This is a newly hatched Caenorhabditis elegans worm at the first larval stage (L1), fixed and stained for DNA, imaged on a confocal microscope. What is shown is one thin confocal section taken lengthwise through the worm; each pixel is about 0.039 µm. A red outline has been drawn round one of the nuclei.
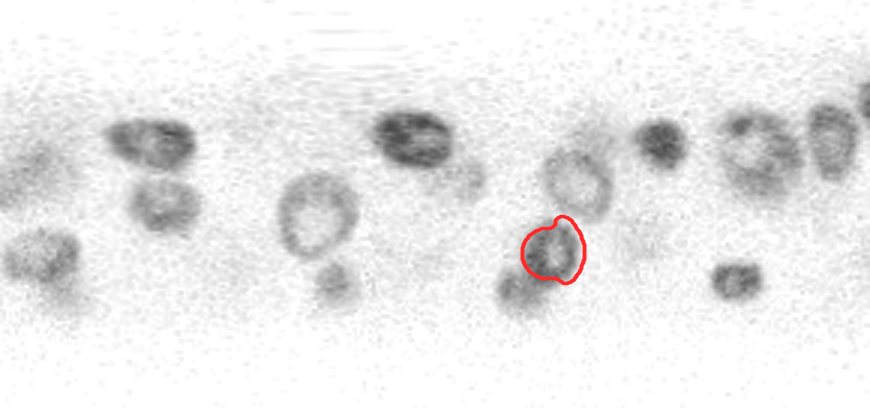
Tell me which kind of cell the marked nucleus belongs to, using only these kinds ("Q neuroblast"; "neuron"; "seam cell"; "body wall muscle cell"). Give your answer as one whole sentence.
The marked nucleus belongs to a Q neuroblast.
